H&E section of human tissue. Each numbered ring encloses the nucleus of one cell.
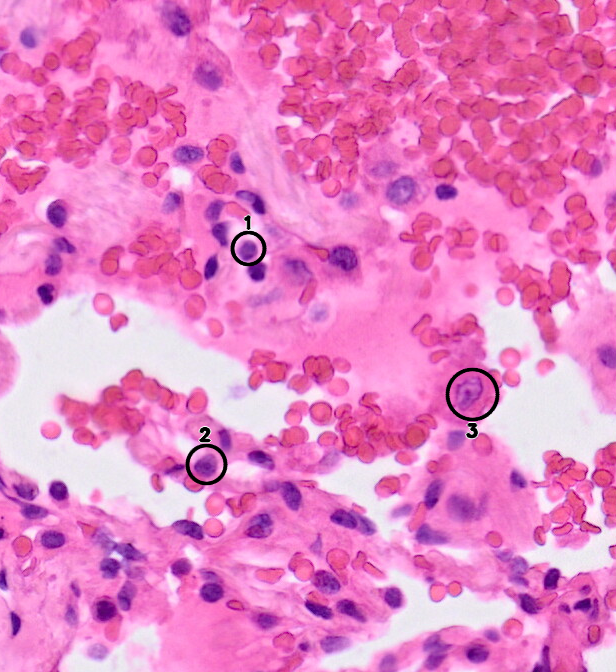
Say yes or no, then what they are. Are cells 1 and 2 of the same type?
No, mate, cell 1 is a lymphocyte and cell 2 is a type I pneumocyte.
